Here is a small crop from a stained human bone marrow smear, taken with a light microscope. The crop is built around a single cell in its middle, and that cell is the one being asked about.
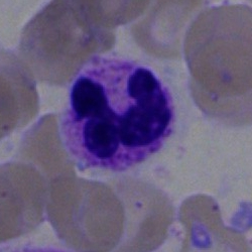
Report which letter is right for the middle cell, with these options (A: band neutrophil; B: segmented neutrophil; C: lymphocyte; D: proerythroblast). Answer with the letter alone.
B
